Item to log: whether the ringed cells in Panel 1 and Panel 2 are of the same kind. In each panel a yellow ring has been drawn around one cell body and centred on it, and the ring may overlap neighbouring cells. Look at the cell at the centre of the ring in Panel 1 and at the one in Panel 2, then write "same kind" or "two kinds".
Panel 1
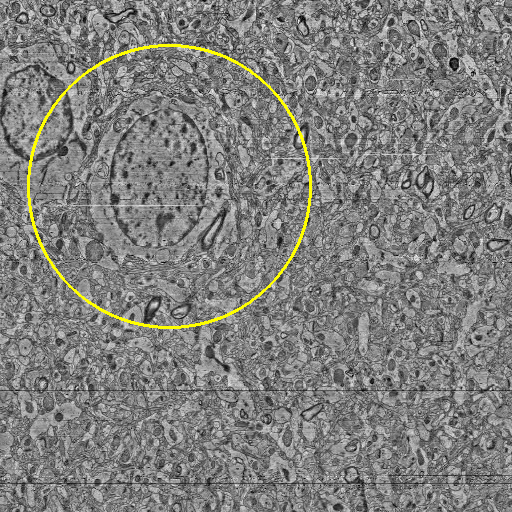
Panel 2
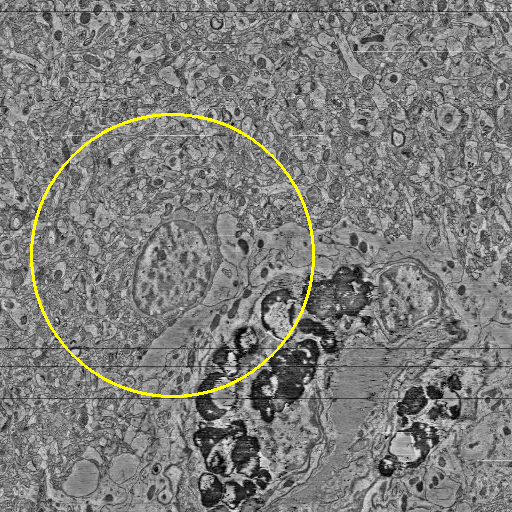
two kinds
